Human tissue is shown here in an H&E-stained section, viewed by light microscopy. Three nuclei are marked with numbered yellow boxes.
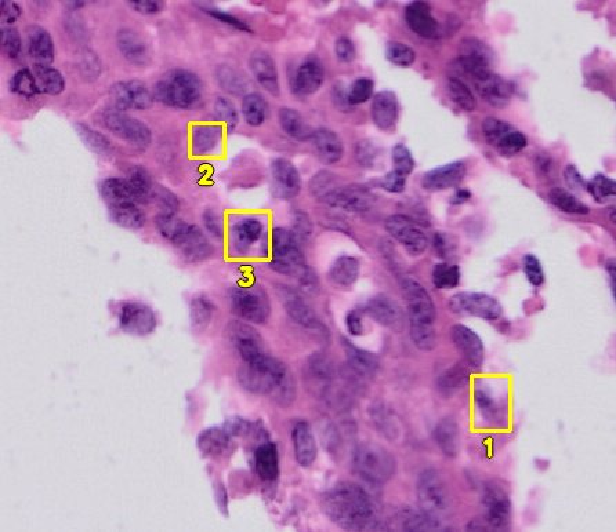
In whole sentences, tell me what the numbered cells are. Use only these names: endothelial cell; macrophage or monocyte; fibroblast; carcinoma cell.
Cell 1 is a macrophage or monocyte, cell 2 is a carcinoma cell and cell 3 is a macrophage or monocyte.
